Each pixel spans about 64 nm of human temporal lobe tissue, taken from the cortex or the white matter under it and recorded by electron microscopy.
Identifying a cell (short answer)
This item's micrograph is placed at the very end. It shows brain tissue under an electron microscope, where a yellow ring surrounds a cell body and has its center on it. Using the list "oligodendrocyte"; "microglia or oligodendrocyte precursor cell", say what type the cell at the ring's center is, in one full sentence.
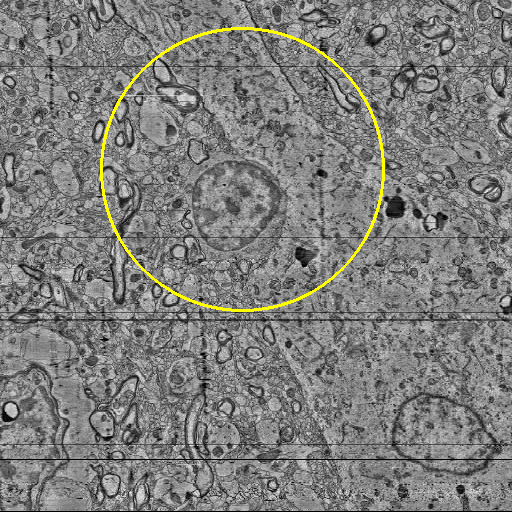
This picture shows an oligodendrocyte at the center of the yellow ring drawn on it.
